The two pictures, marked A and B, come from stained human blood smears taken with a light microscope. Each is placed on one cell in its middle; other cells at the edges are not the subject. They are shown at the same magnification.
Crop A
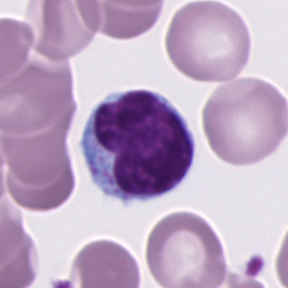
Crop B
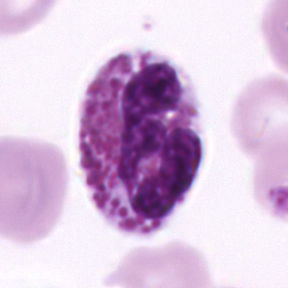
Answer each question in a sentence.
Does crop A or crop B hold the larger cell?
The cell in crop B is larger, with about 1.5 times the area of the one in crop A.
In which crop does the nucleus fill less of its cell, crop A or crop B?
The nucleus fills less of the cell in crop B than in crop A.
